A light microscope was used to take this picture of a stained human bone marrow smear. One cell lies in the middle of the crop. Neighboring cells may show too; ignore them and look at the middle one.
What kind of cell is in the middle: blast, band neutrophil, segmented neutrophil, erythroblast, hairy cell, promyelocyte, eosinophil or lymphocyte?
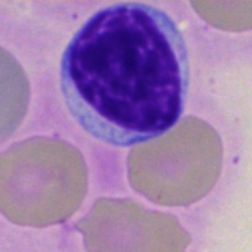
lymphocyte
